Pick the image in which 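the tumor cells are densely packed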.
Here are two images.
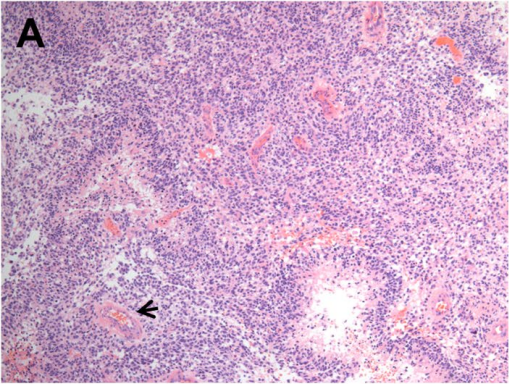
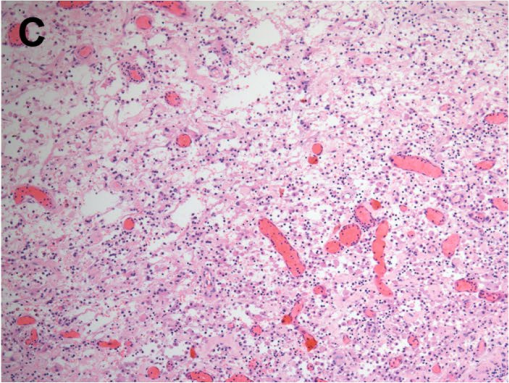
The first image.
